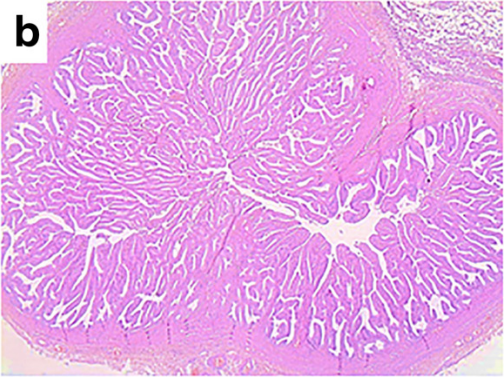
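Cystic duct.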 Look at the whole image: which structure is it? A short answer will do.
A papillary neoplasm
